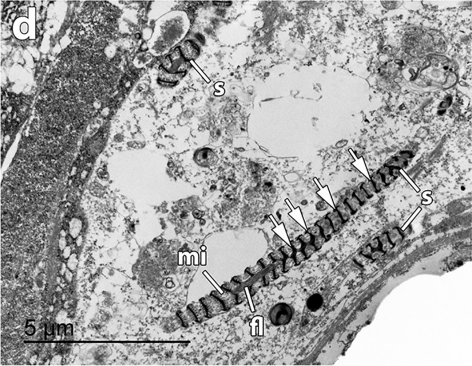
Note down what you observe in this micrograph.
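This electron micrograph shows sperm cells lying in a loose, vacuolated tissue, one of them cut along its full length. The long sperm shows a regular series of dark, repeated bands, the sections of a helically wound nucleus. Smaller fragments of other sperm appear nearby where they are cut obliquely. Large pale vacuole-like spaces and scattered dark granules lie in the surrounding tissue.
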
